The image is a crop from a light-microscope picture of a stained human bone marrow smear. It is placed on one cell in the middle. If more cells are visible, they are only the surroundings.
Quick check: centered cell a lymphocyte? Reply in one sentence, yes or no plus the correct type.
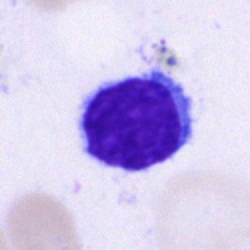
Yes, the cell under consideration, the one in the middle, is a lymphocyte.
